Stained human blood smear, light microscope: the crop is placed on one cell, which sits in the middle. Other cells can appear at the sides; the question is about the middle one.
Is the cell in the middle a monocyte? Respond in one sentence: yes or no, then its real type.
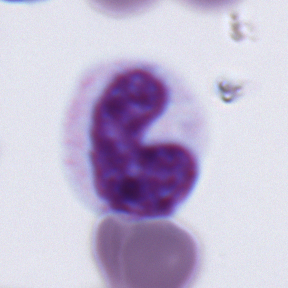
No, the middle of the crop holds a band neutrophil, not a monocyte.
